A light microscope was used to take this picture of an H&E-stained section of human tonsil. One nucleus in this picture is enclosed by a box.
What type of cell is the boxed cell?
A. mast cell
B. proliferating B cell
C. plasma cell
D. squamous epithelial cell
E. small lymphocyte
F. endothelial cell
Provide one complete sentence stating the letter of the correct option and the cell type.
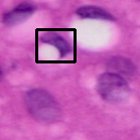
With the boxed cell being a squamous epithelial cell, option D is correct.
